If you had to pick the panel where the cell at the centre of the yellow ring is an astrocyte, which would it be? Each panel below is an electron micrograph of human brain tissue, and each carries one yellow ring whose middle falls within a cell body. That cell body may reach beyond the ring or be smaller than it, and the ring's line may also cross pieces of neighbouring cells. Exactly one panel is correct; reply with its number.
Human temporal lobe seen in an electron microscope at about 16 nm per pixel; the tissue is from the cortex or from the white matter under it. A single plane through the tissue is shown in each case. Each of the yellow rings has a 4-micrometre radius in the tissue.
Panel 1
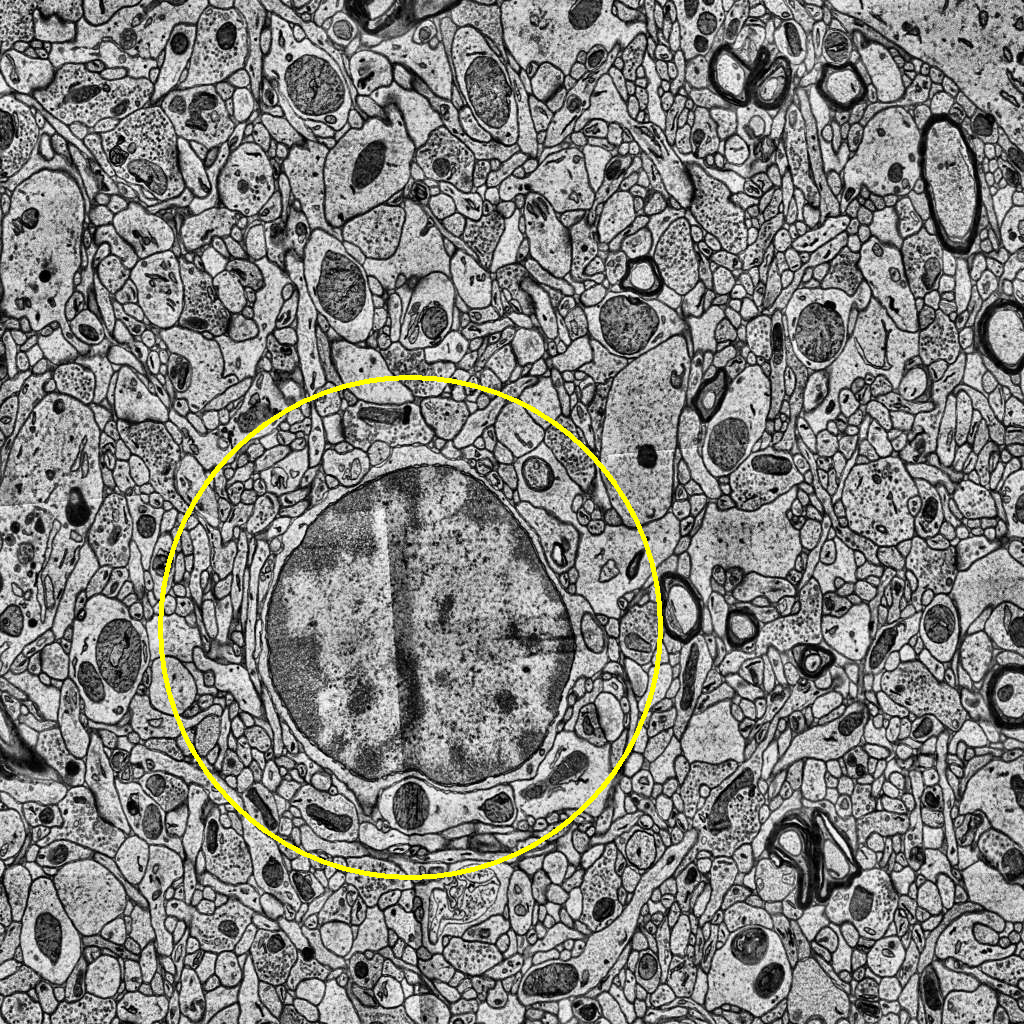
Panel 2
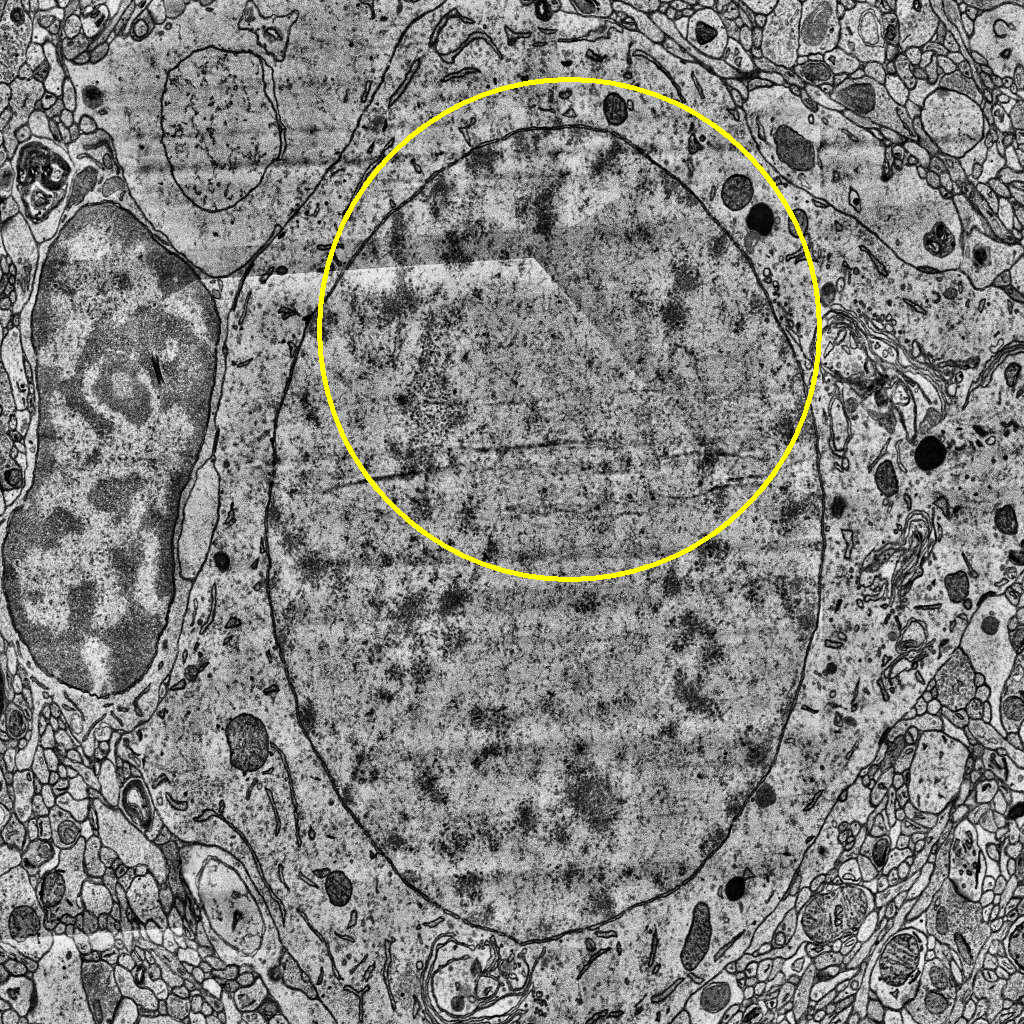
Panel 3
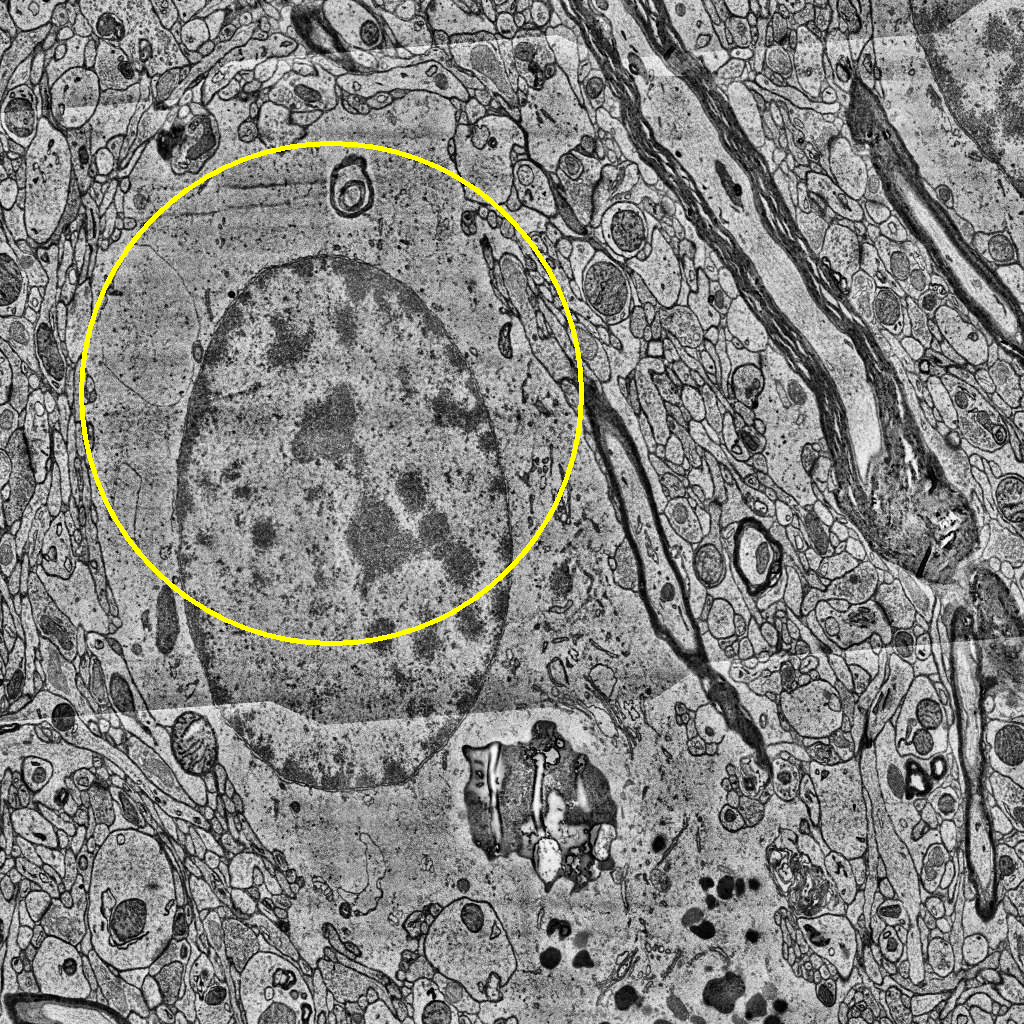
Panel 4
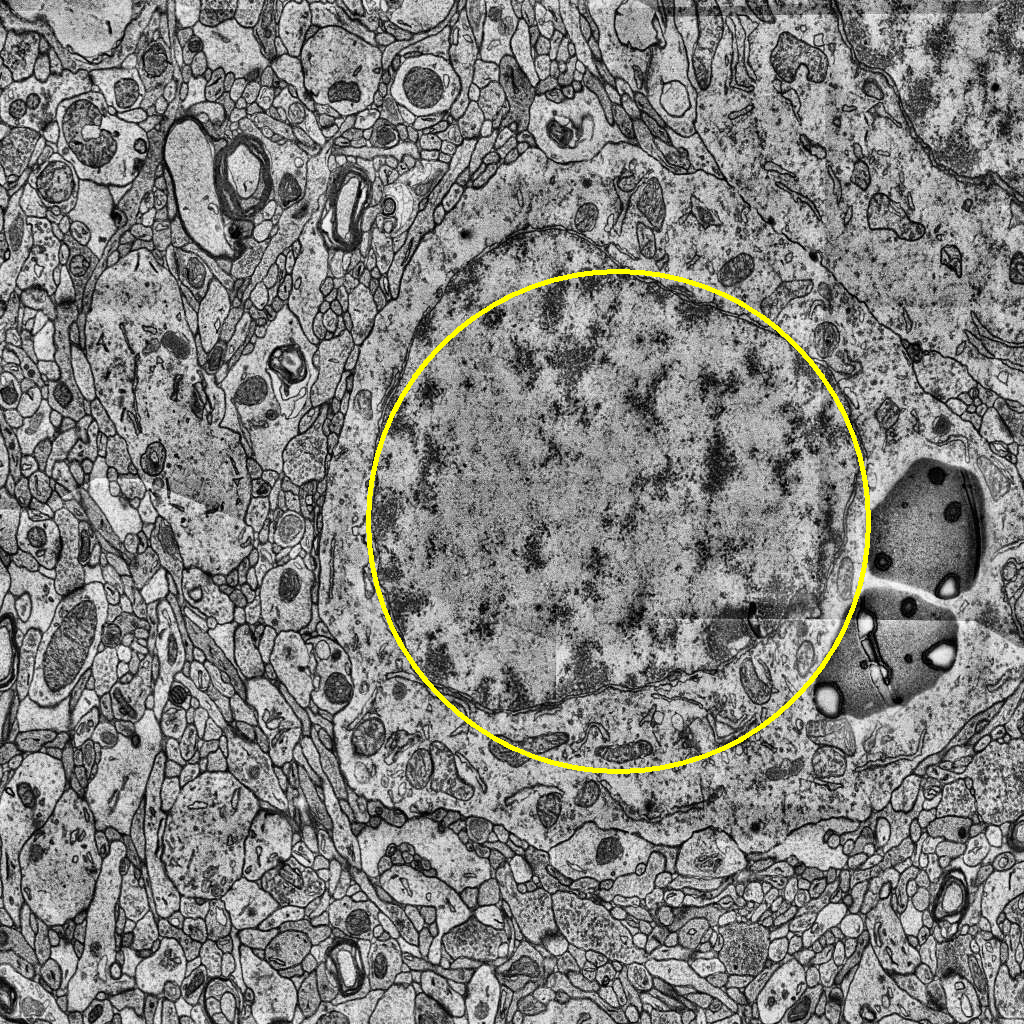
3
